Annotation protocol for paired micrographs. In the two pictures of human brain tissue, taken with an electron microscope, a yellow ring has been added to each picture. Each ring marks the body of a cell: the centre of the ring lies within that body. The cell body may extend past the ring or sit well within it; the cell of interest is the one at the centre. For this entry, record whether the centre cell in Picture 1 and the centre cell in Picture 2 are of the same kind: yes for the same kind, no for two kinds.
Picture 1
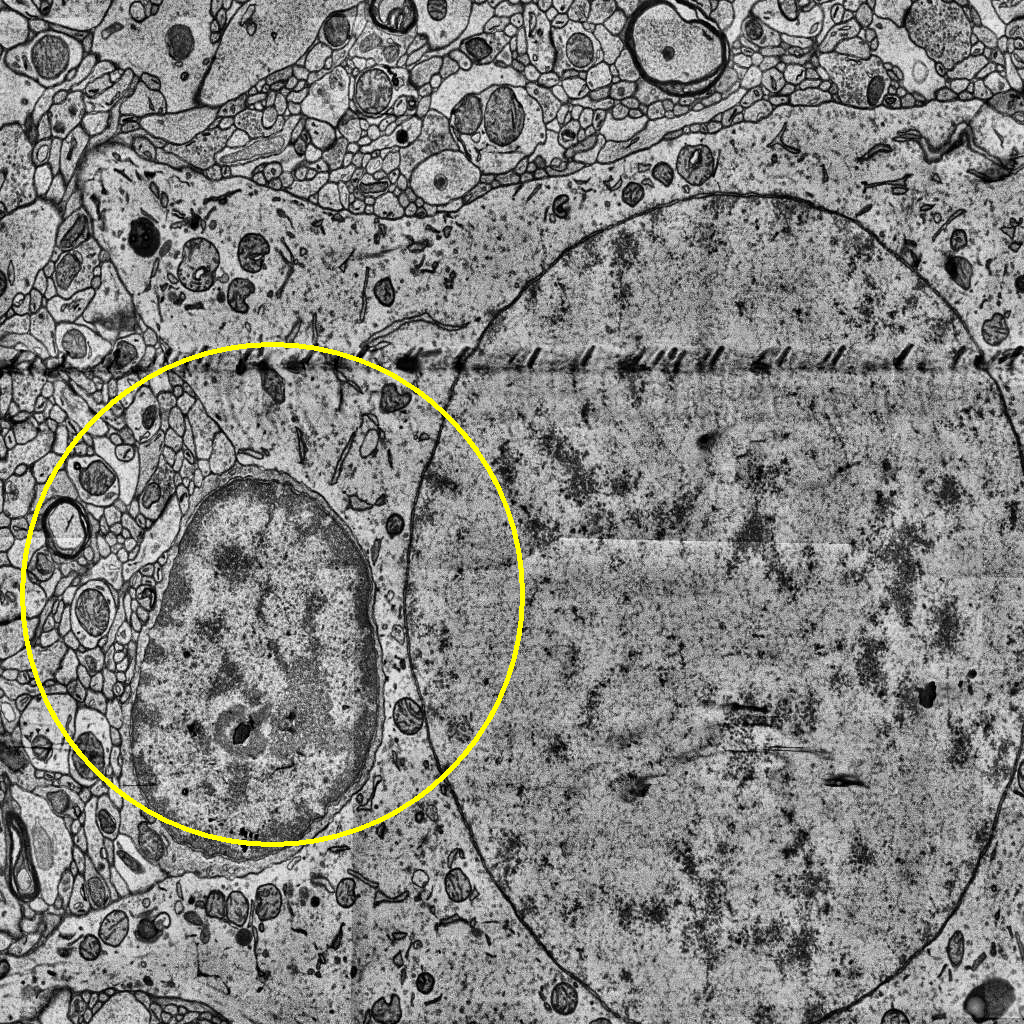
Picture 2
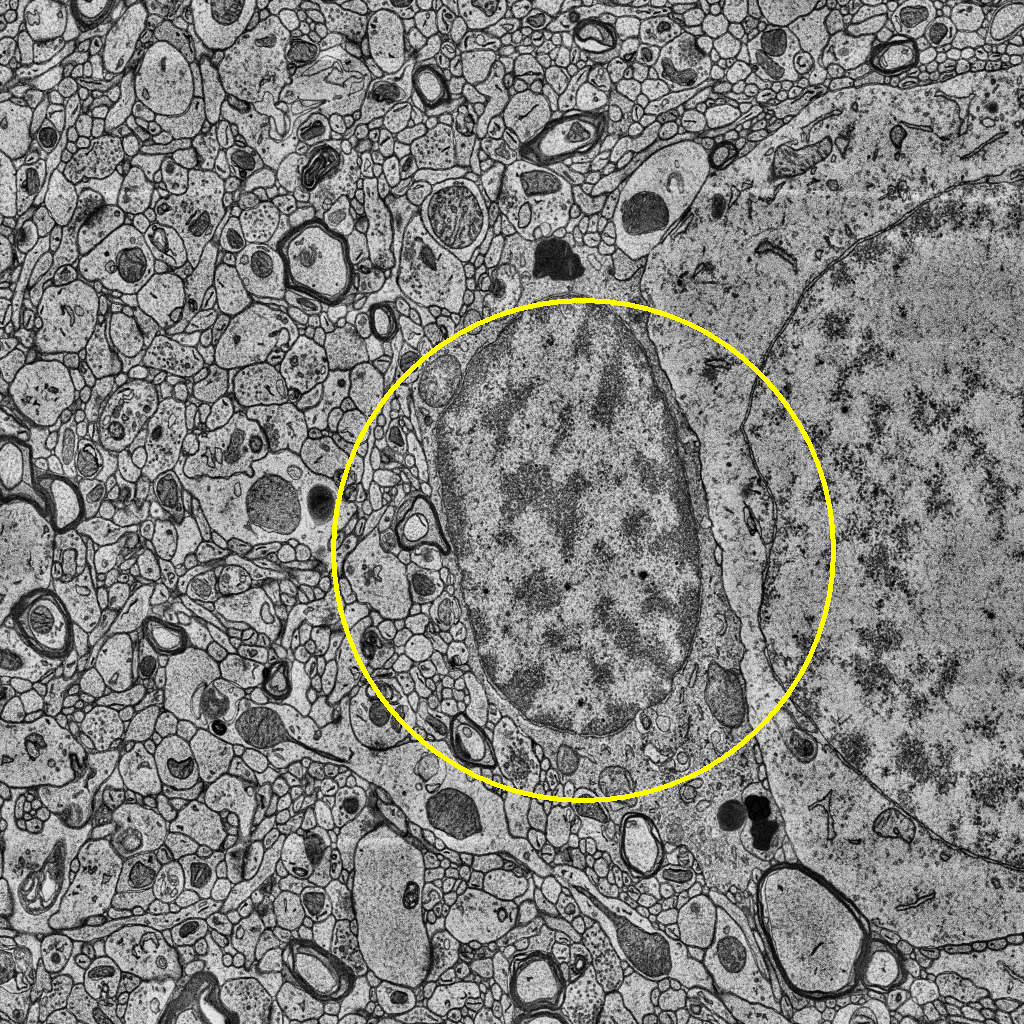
yes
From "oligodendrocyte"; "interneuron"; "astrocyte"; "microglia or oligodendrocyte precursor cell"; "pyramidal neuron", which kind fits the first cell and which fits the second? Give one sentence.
Both cells are the same kind, each one being an oligodendrocyte.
